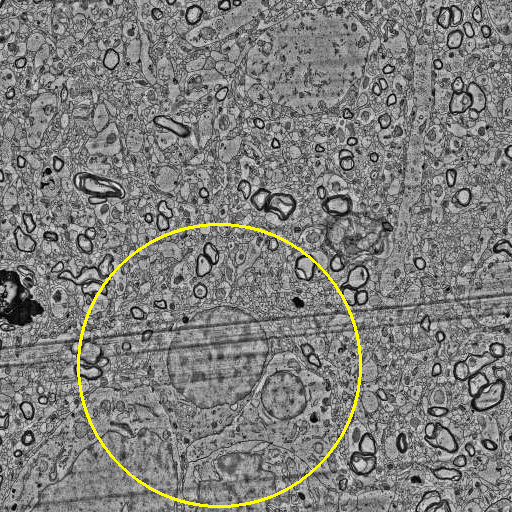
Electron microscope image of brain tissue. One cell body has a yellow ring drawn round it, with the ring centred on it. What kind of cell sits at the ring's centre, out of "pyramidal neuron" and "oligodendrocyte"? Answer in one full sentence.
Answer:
It is an oligodendrocyte whose cell body sits at the centre of the yellow ring.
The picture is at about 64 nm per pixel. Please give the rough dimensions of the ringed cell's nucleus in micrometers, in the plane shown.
About 7 micrometres across, as seen in this plane.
